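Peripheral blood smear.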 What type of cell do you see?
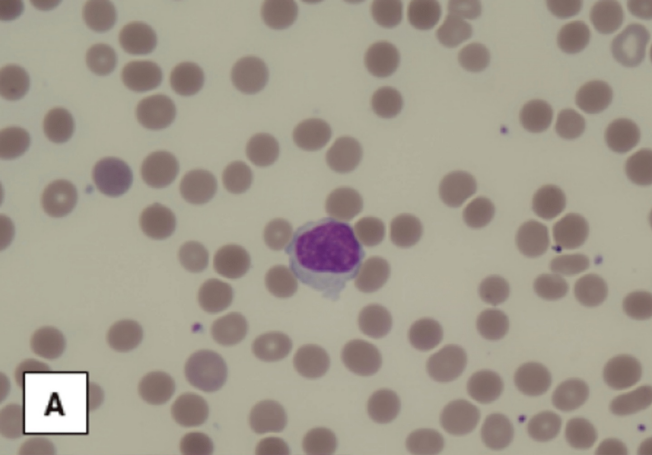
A: Atypical lymphocytes.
